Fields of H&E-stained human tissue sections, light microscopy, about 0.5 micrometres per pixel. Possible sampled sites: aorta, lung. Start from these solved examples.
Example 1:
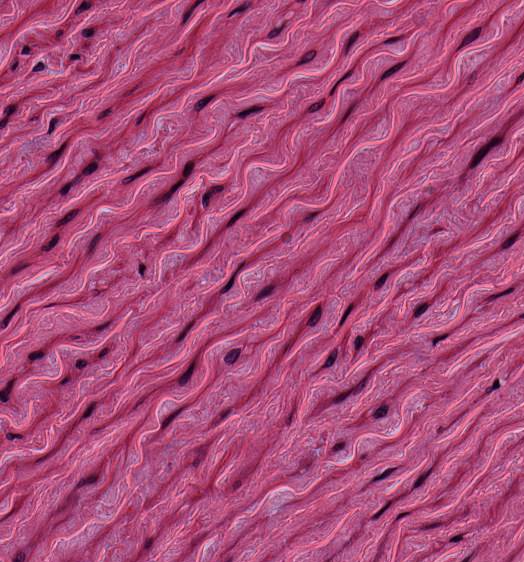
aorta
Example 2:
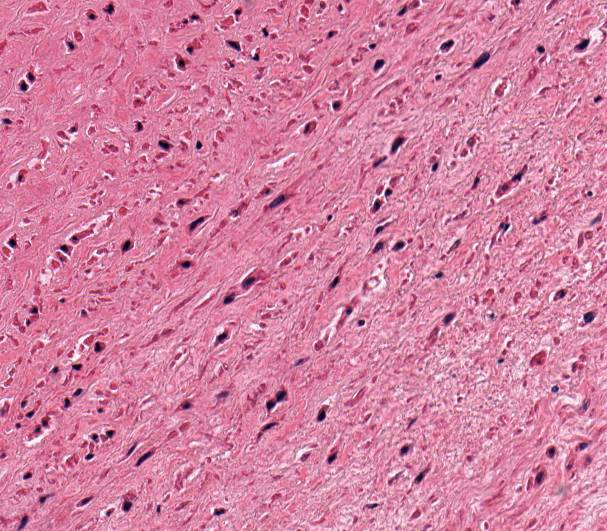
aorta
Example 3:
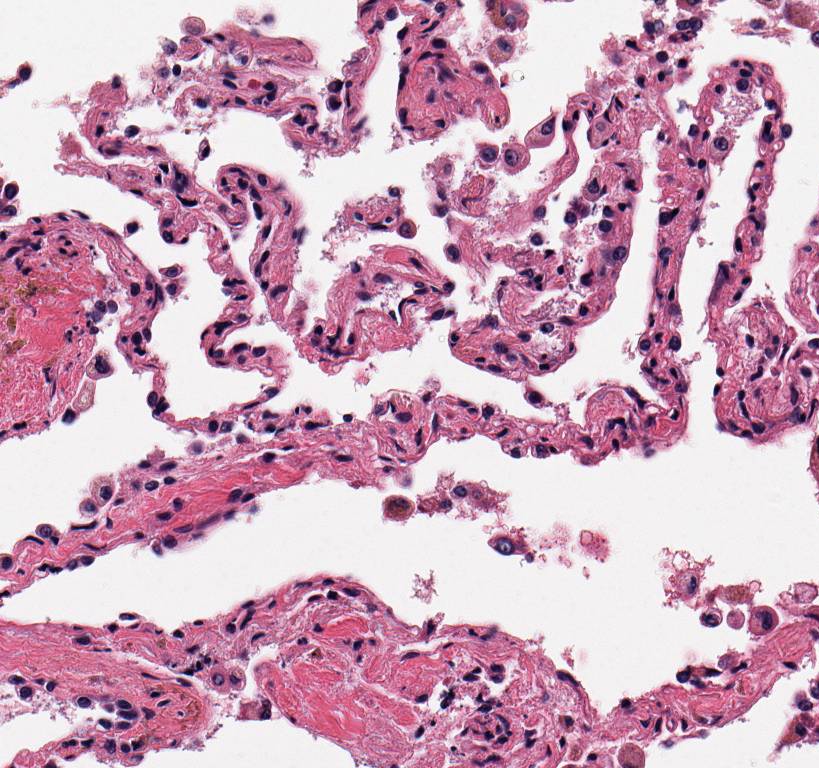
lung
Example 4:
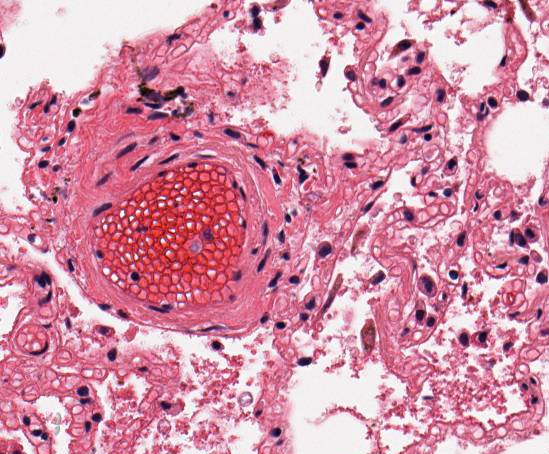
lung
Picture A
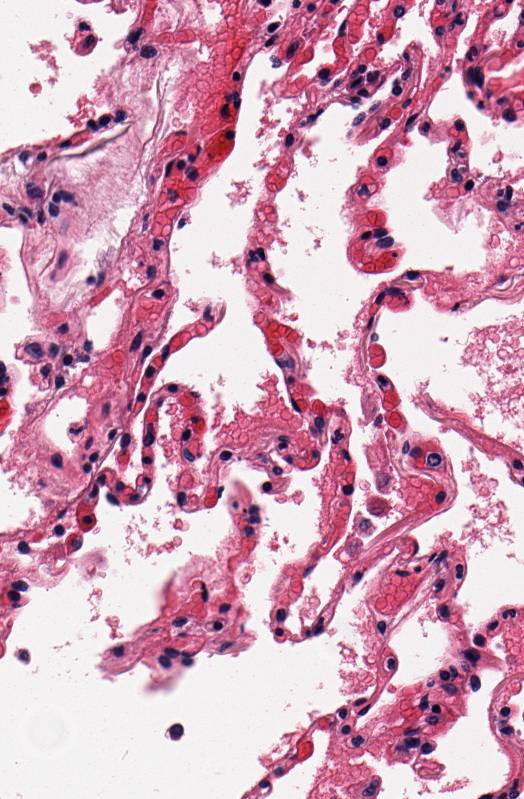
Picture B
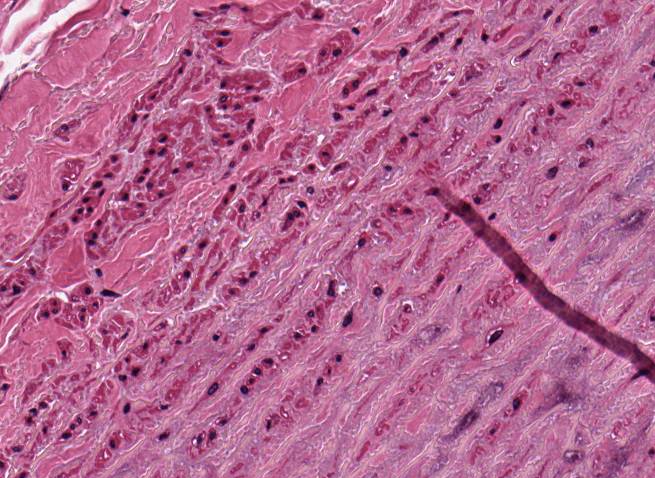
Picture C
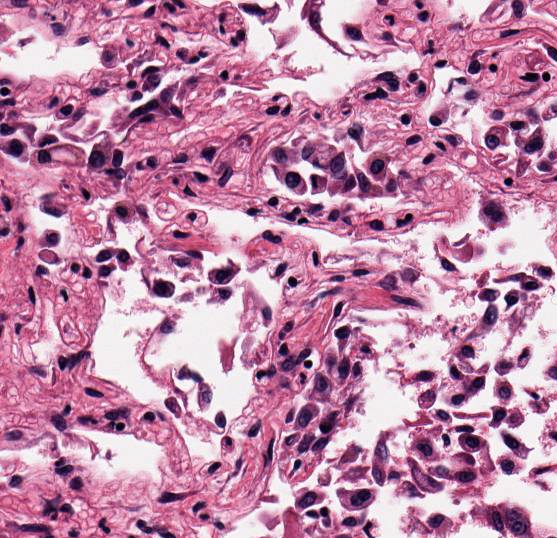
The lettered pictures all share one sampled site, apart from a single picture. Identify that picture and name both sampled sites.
Different: B, aorta. Others: lung.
